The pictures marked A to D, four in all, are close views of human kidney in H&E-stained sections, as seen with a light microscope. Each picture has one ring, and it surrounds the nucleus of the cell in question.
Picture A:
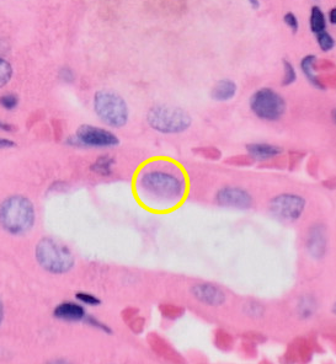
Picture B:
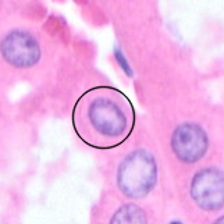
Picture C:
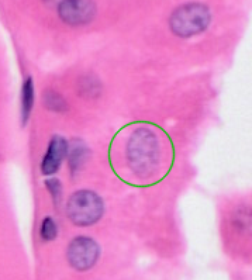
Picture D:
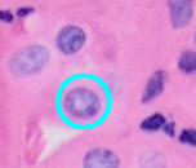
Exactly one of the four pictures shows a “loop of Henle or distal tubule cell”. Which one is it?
A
